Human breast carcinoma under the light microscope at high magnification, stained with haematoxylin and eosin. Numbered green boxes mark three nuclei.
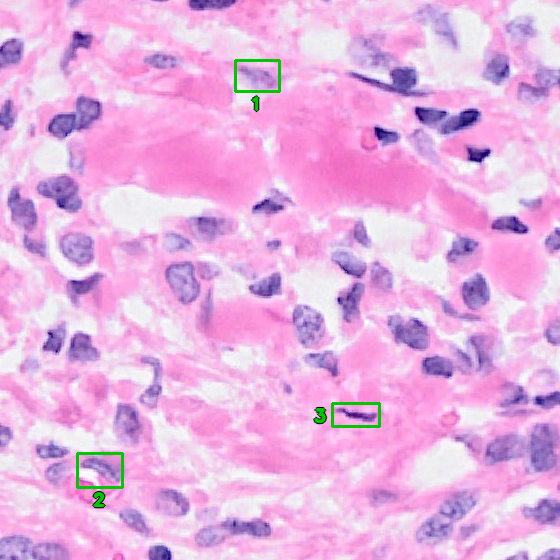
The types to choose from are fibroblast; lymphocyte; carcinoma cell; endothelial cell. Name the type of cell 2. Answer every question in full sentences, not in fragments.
Looking at the numbered marks, cell 2 is an endothelial cell.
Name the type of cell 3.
The correct label for cell 3 is a fibroblast.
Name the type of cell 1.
Here the cell numbered 1 is a fibroblast.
